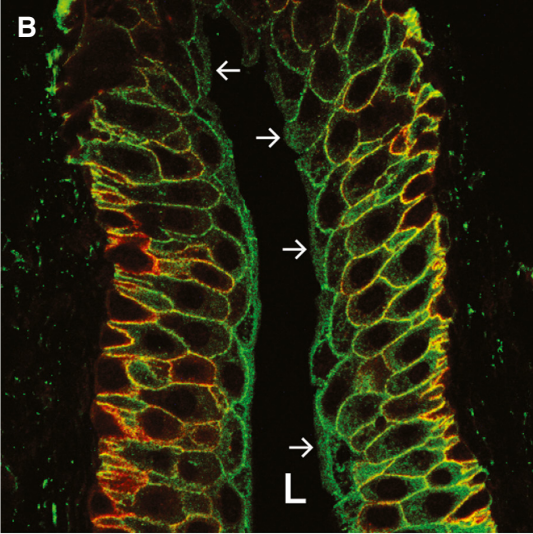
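A multilayered urothelium lines a narrow lumen, with basal, intermediate and umbrella cells stacked several cells deep. The surface cells facing the lumen carry green along their sides and base.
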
